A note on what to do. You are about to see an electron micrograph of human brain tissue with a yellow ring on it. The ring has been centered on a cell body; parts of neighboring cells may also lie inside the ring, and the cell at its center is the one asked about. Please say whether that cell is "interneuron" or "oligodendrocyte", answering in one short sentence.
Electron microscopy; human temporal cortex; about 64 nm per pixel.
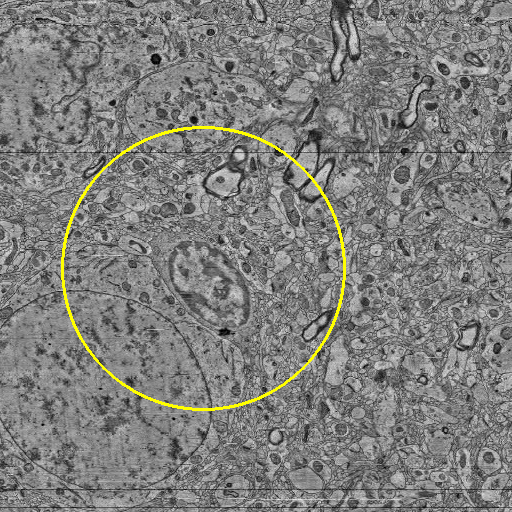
The yellow ring sits on an oligodendrocyte.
